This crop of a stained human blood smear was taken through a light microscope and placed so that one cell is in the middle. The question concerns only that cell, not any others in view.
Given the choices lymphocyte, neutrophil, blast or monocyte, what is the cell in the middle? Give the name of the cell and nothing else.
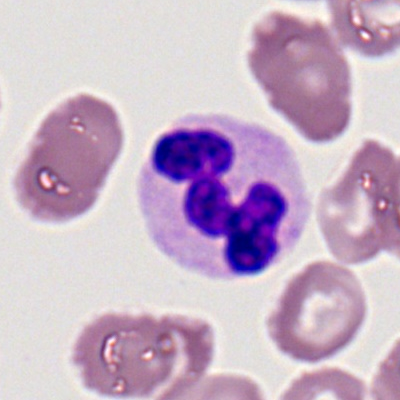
neutrophil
